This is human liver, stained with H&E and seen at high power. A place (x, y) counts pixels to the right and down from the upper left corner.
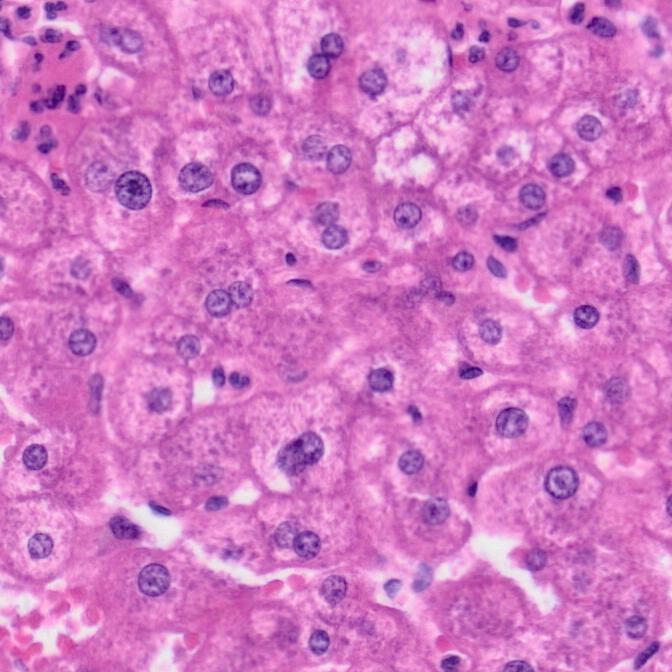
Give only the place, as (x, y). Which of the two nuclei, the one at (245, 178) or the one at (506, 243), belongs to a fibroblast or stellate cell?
(506, 243)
